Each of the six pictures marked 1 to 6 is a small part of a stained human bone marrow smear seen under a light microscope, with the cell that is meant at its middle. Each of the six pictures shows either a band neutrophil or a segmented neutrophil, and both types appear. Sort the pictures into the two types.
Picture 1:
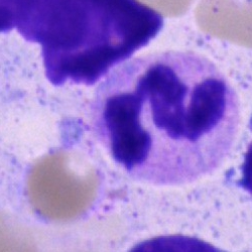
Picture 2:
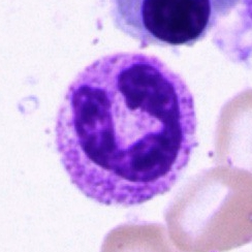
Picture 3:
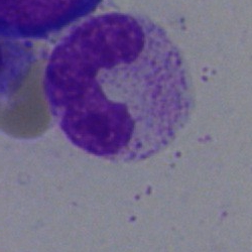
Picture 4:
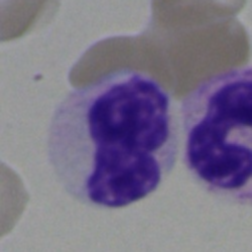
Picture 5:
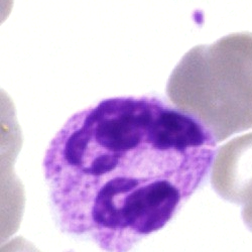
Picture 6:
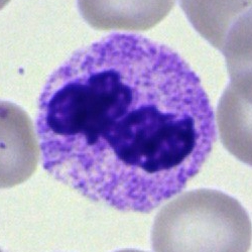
1: segmented neutrophil
2: segmented neutrophil
3: band neutrophil
4: band neutrophil
5: segmented neutrophil
6: segmented neutrophil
